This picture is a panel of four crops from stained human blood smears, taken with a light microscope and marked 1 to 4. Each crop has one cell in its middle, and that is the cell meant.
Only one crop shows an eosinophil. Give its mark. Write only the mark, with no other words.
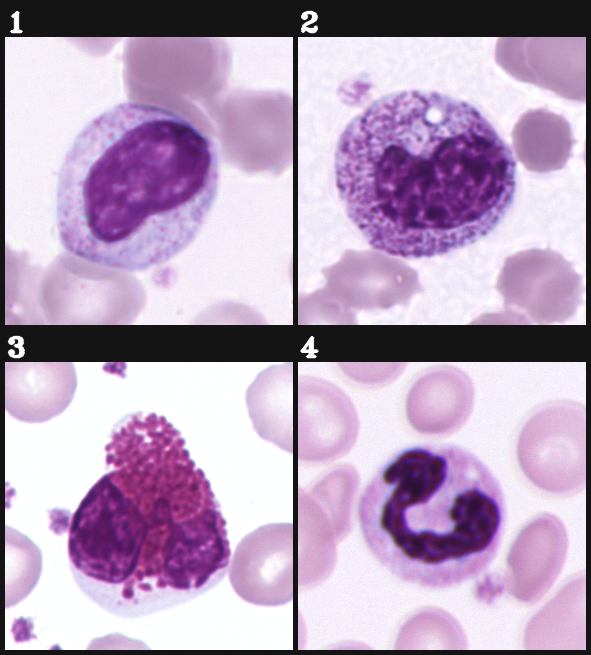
3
